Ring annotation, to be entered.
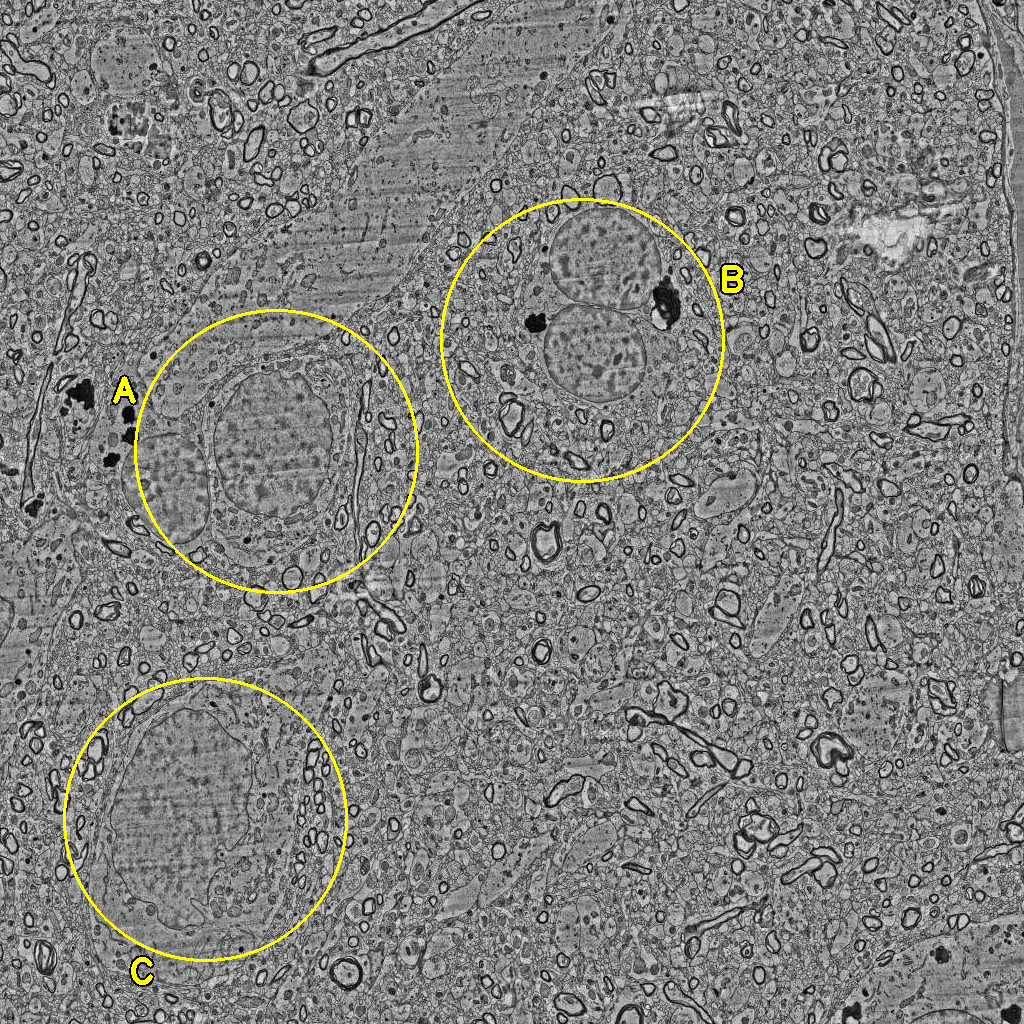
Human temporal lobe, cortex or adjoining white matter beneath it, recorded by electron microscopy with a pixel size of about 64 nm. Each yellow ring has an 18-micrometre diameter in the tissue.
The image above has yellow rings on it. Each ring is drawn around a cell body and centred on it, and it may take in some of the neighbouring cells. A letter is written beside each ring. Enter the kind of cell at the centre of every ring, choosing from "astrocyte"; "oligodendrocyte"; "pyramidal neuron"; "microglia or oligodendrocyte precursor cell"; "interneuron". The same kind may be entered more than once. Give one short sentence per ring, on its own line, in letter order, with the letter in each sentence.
The ring marked A is centred on an interneuron.
The ring marked B is centred on an oligodendrocyte.
The ring marked C is centred on a pyramidal neuron.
